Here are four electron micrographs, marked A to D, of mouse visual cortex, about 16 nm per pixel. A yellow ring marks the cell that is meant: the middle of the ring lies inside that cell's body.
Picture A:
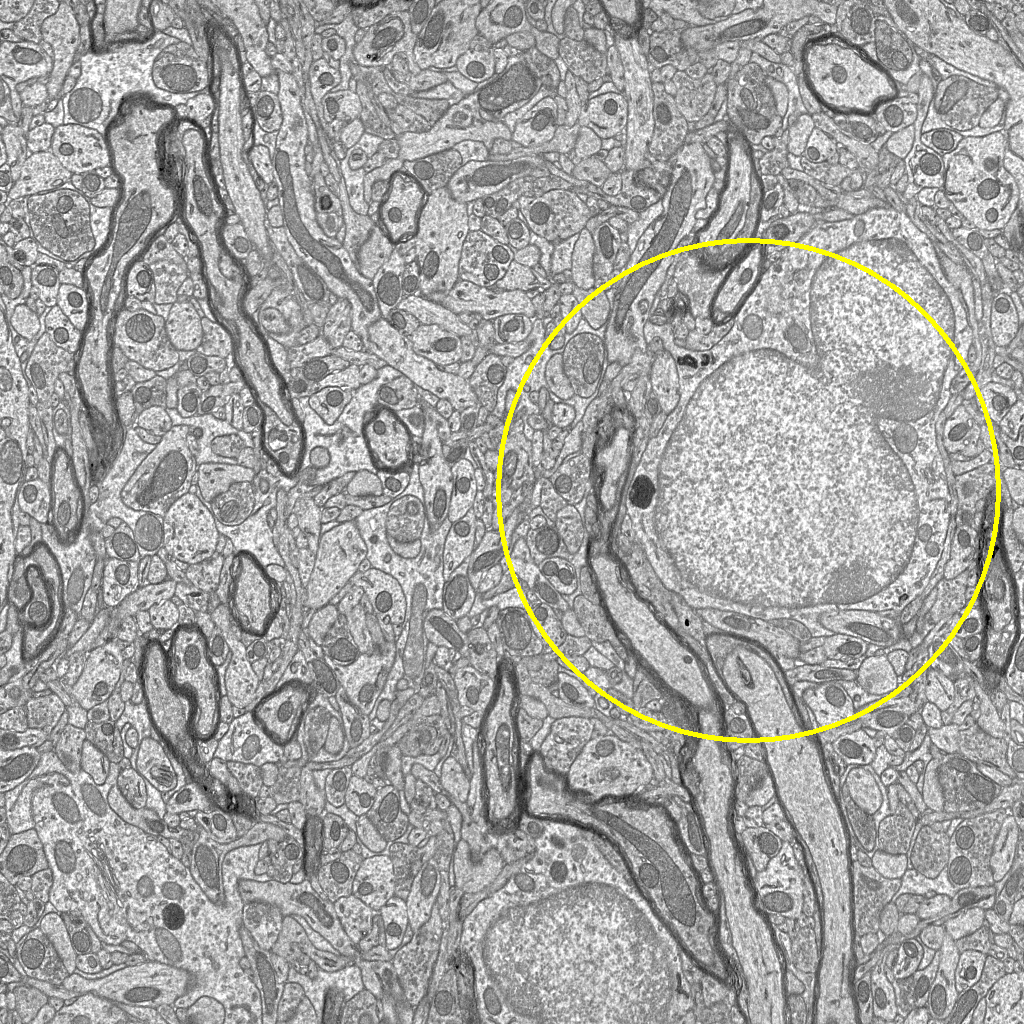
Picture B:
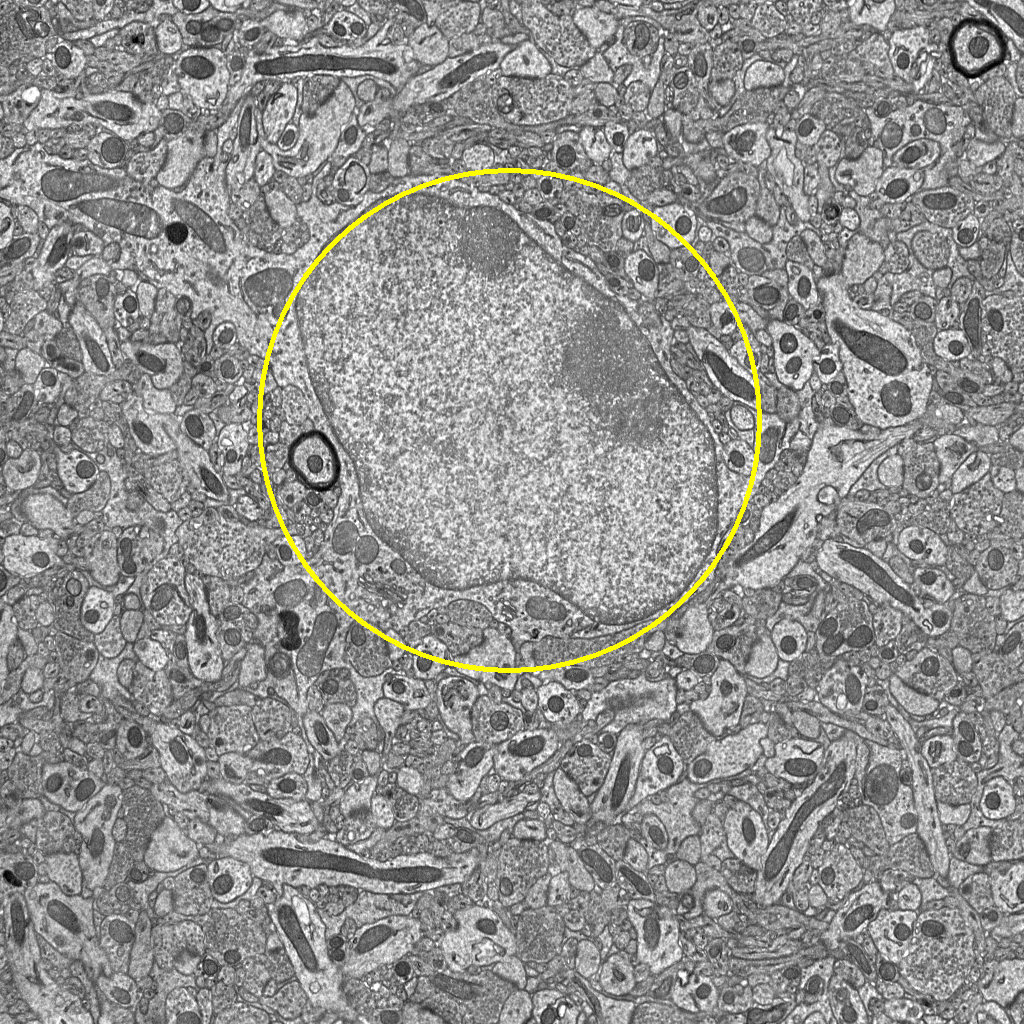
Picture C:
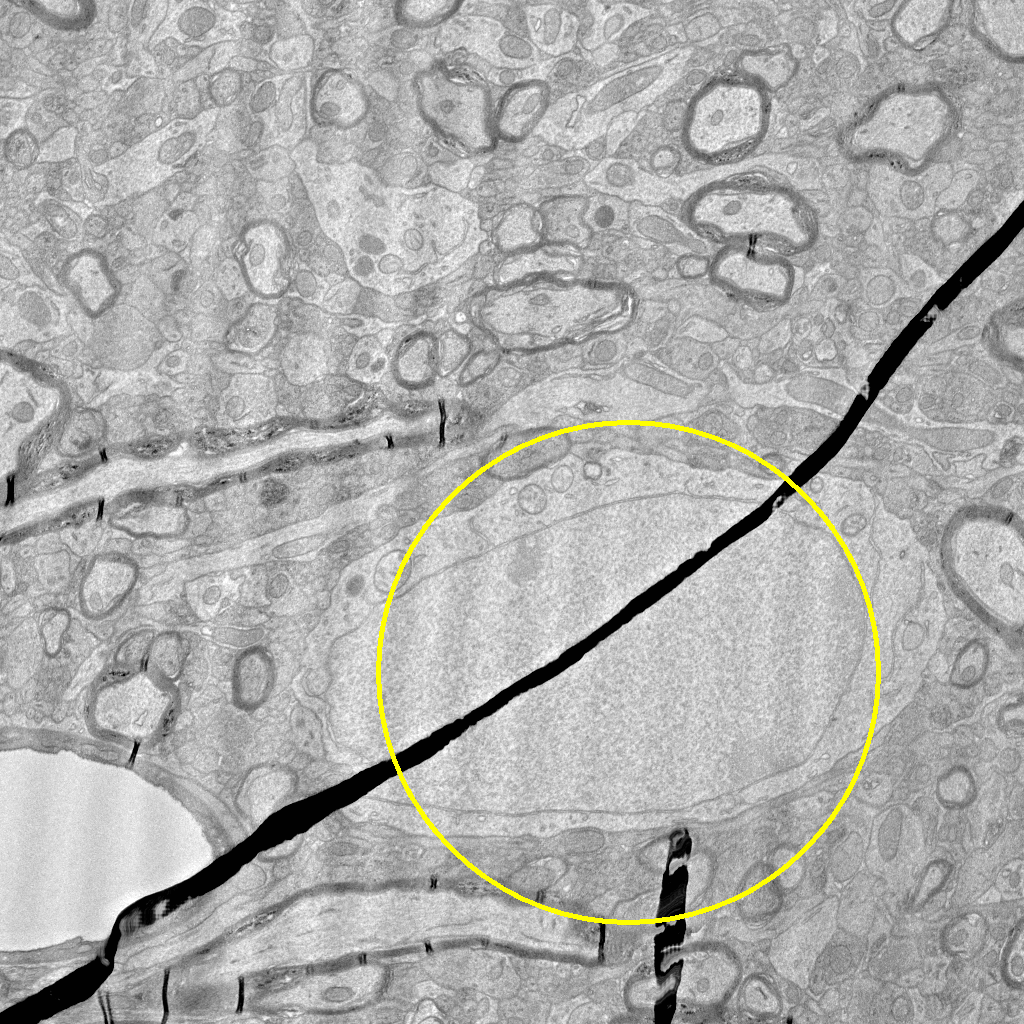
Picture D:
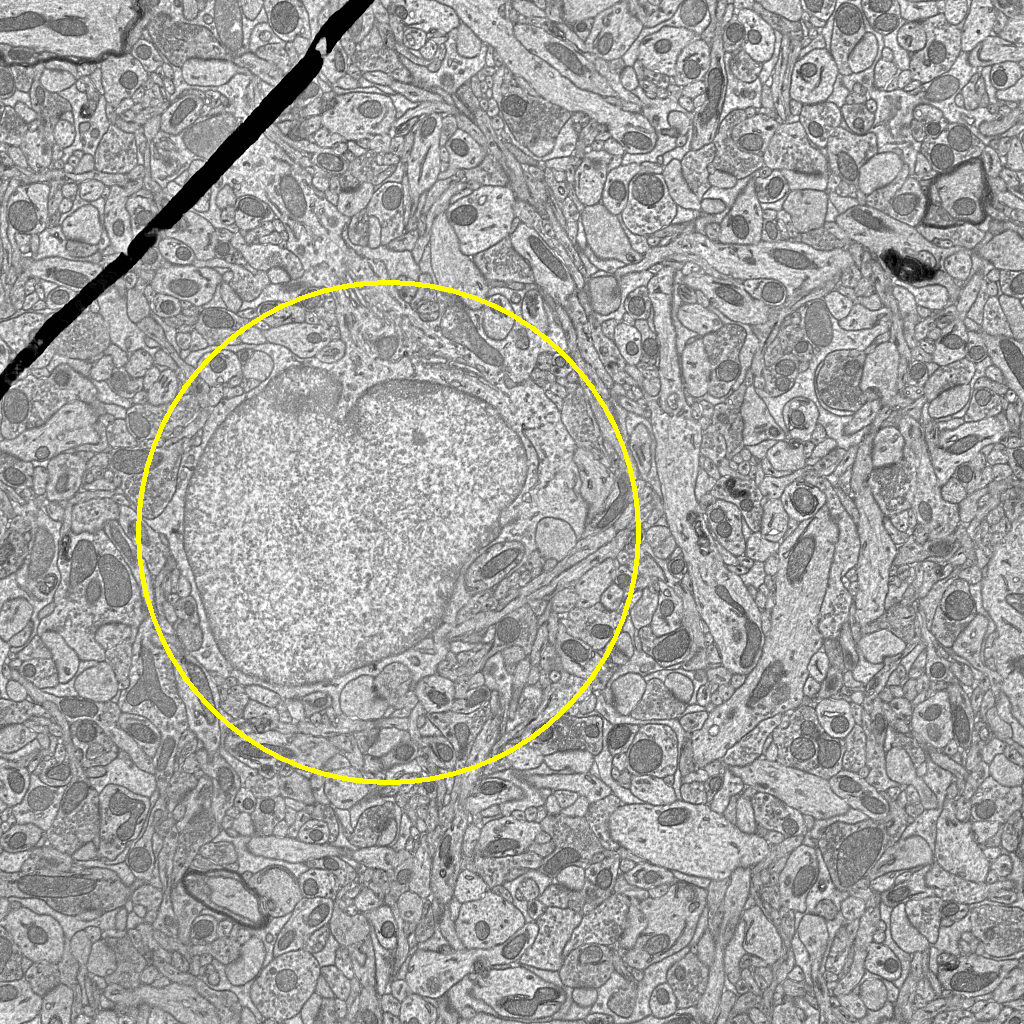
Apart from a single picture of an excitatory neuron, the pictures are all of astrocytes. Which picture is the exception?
It is picture C that shows the excitatory neuron.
